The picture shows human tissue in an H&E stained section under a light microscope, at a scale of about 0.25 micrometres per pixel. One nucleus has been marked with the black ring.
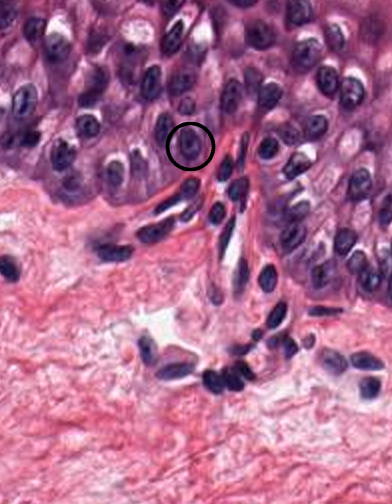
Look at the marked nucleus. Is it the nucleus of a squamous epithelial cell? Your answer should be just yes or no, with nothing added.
yes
